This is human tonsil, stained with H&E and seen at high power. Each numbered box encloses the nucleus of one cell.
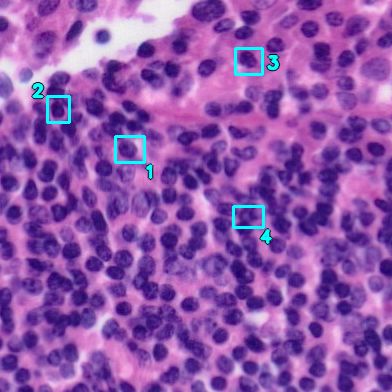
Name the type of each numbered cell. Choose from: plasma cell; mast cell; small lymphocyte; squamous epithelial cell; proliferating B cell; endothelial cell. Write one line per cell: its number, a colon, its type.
1: small lymphocyte
2: small lymphocyte
3: plasma cell
4: small lymphocyte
